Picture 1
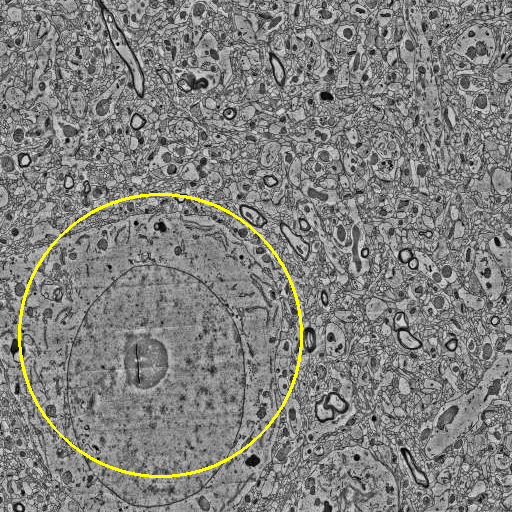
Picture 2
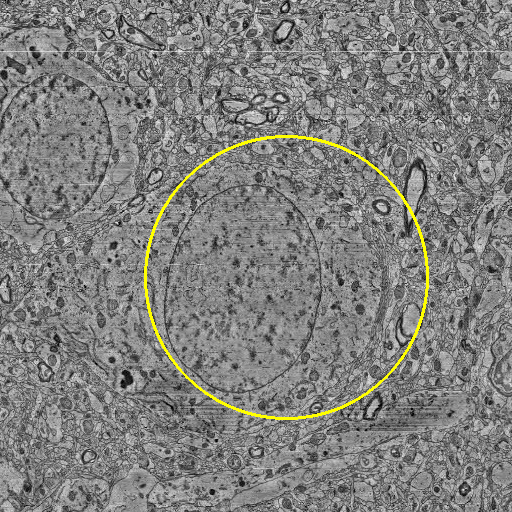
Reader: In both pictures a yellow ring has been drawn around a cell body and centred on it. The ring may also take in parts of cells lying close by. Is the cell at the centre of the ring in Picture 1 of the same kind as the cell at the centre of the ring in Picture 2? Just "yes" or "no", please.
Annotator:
yes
